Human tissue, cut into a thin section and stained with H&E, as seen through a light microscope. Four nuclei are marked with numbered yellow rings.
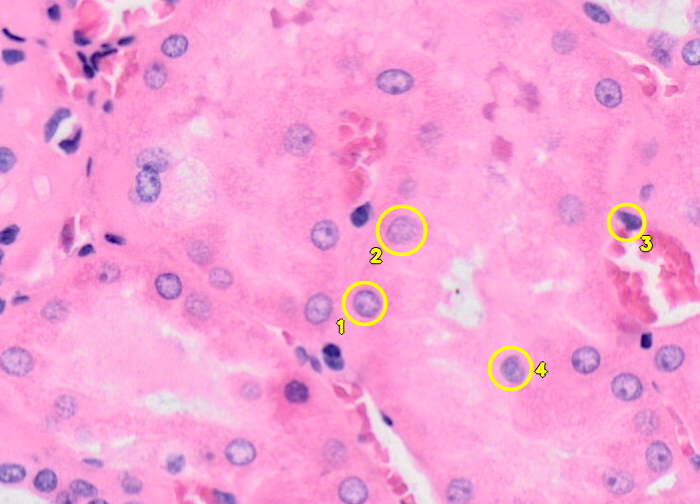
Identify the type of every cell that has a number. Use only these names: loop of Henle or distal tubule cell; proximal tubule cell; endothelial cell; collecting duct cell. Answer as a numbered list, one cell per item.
1. proximal tubule cell
2. proximal tubule cell
3. endothelial cell
4. proximal tubule cell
